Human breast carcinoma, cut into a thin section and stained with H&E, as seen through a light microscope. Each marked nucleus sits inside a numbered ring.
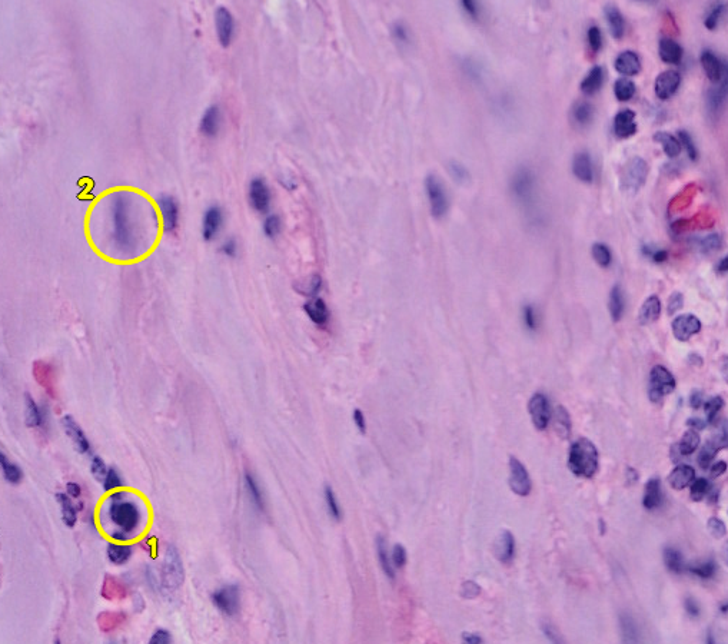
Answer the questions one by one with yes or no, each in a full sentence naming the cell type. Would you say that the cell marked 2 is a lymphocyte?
No, cell number 2 is a fibroblast; it is not a lymphocyte.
